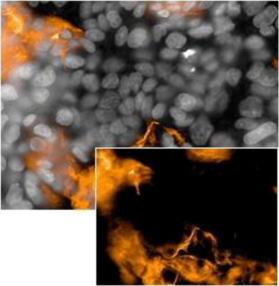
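Orange fluorescence is patchy: it appears in a few regions, notably at the upper left and along the lower middle, as cloud-like masses and wavy filamentous strands lying around and between nuclei. Many nuclei in the center and right have no orange nearby. The inset, showing the orange alone against a dark background, displays streaming fibrous bundles and curled, thread-like filaments gathered in bands, especially across the lower part, with wide dark areas elsewhere.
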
